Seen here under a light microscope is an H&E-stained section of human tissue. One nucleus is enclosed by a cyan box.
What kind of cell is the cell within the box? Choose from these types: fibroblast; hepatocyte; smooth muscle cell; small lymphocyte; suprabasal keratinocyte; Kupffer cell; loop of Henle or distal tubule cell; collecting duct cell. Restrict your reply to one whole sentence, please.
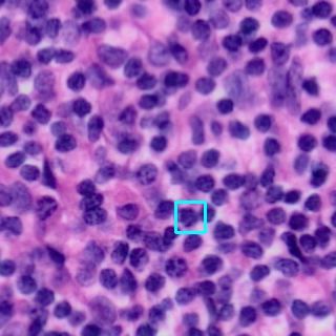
Students should answer that the cell within the box is a small lymphocyte.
